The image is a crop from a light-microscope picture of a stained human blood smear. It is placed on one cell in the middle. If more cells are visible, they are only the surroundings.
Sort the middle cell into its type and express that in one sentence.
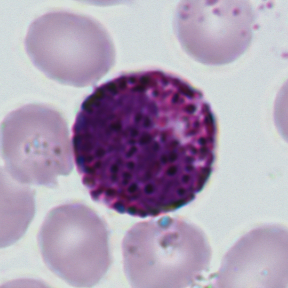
Centrally within this crop lies a basophil.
